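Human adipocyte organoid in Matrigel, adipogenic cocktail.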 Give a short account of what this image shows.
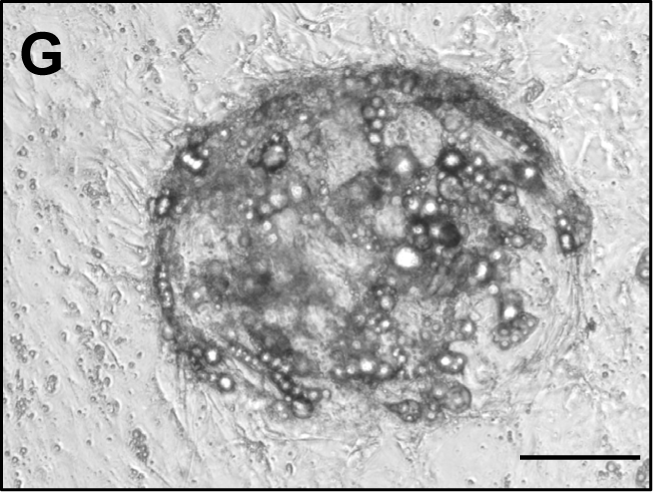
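A rounded, roughly oval cell cluster sits on a layer of flat spread cells. Inside and along its rim lie many round, bright, refractile droplets of differing sizes, some in chains along the border, others grouped in the interior among greyer cell masses. The edge of the cluster is a dense darker band, and thin spindle-shaped cells radiate from it into the surrounding monolayer.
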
